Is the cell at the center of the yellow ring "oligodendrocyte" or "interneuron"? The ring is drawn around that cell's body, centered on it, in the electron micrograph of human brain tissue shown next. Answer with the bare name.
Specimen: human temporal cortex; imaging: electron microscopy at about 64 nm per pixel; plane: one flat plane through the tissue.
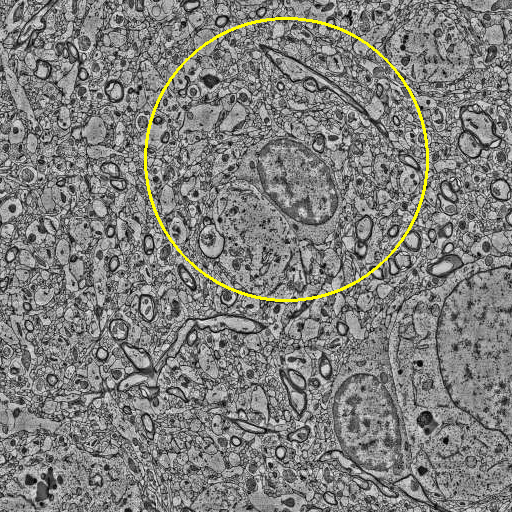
oligodendrocyte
